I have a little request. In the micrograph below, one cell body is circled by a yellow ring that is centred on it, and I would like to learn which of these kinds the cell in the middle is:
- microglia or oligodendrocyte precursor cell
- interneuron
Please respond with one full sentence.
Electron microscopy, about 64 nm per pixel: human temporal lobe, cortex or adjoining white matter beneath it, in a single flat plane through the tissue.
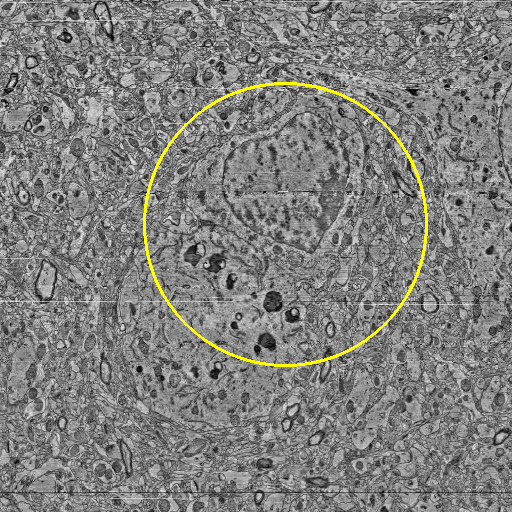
The cell sitting in the middle of the yellow ring in the micrograph is an interneuron.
